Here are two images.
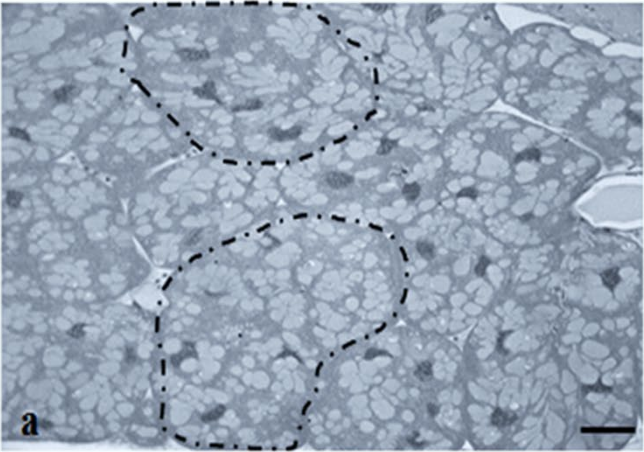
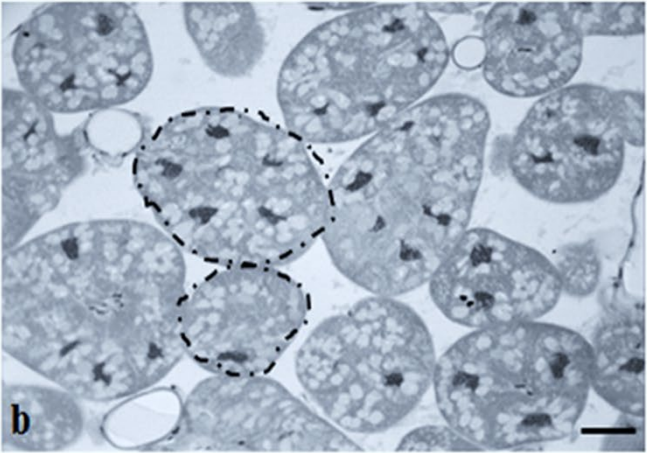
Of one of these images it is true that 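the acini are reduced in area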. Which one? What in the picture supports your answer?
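The second image. First image: the outlined acini are large and fill much of the field, packed against each other. Second image: the outlined acini are smaller rounded units, with more of them in the field.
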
